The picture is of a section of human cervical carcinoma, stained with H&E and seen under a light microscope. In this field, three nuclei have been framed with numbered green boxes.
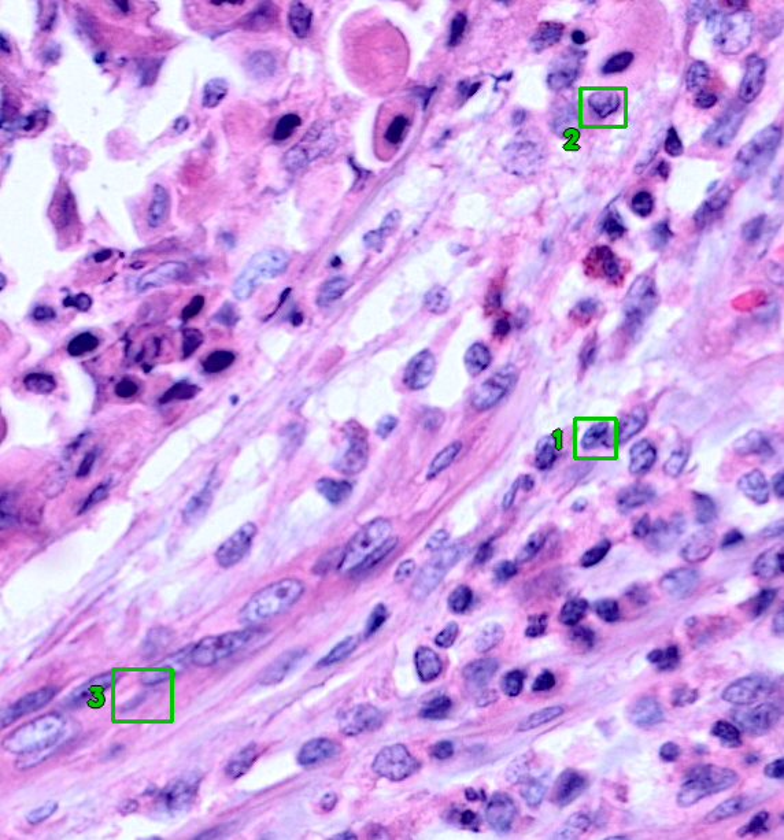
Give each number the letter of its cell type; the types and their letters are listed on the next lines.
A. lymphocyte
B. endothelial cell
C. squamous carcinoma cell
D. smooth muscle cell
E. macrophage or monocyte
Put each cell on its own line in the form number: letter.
1: A
2: E
3: B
